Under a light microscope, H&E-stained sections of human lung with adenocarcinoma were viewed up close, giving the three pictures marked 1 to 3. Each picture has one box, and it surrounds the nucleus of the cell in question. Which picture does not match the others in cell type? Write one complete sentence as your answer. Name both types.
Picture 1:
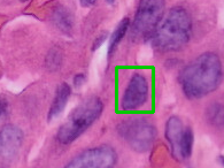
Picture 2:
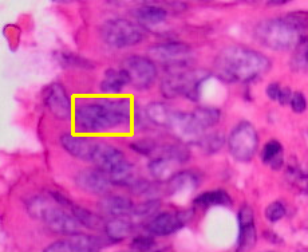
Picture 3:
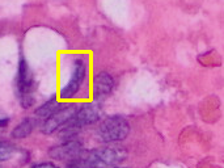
The different one is picture 1; it shows a carcinoma cell, whereas all the others show ciliated epithelial cells.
